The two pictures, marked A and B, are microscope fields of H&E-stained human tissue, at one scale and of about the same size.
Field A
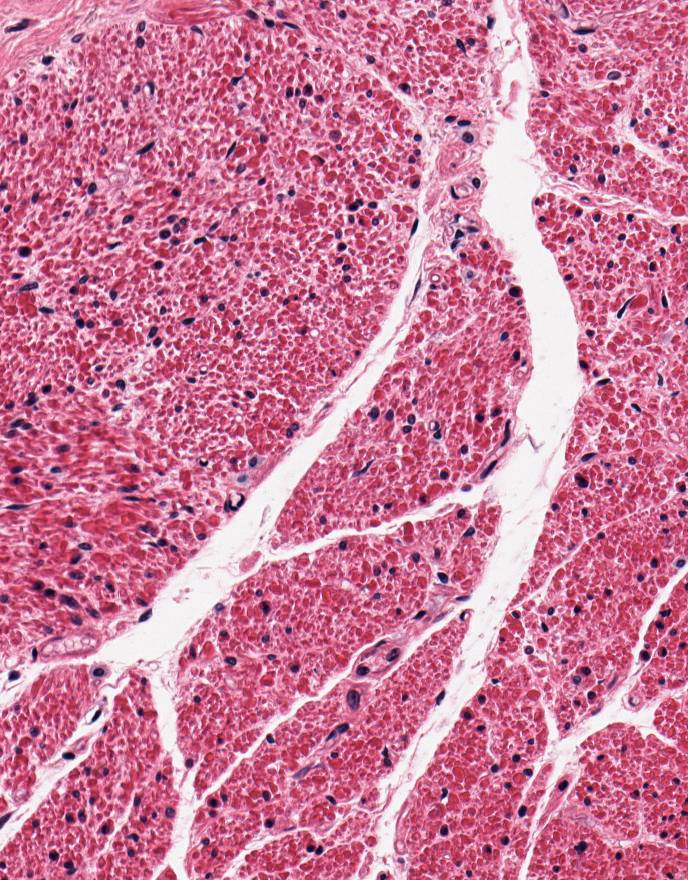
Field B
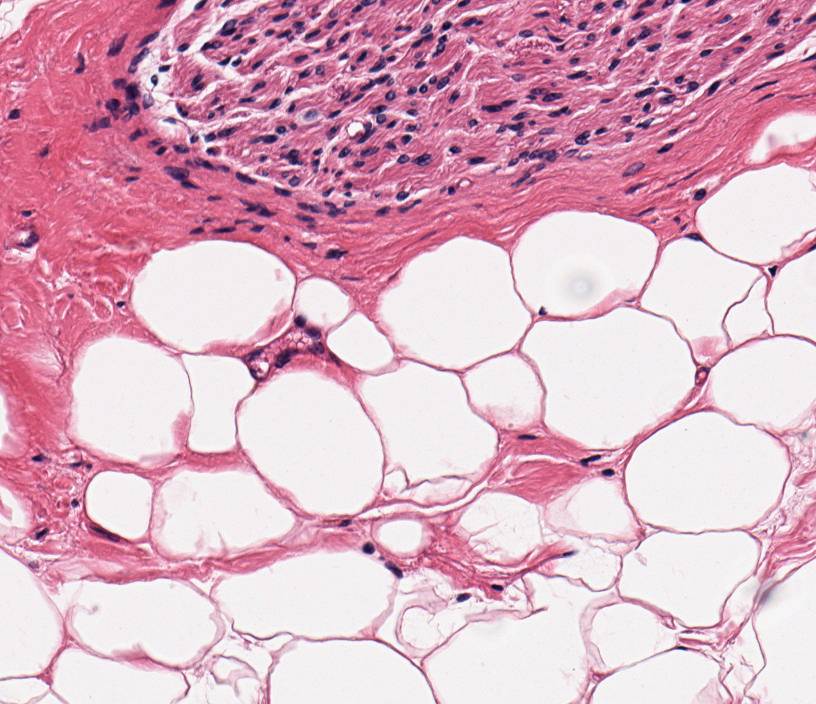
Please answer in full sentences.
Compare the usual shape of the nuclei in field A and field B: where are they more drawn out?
Longer, more slender nuclei lie in field B.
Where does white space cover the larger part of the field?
More of field B is empty and white.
